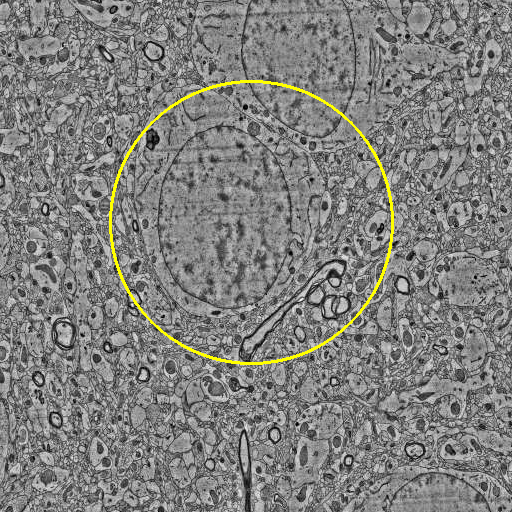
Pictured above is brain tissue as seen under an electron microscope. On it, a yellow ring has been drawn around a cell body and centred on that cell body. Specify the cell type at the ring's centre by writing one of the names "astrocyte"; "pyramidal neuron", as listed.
pyramidal neuron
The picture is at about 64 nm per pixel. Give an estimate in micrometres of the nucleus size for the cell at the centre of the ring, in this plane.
Approximately 12 micrometres long and 9 micrometres wide, in this plane.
